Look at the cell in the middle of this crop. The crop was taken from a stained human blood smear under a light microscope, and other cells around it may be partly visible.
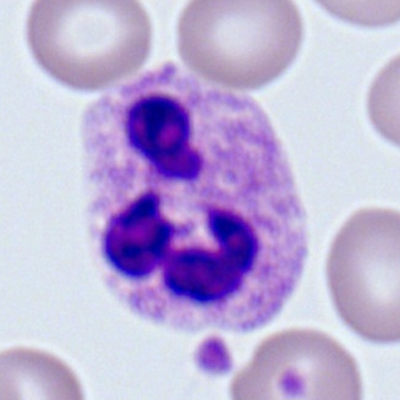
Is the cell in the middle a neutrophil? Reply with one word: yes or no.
yes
